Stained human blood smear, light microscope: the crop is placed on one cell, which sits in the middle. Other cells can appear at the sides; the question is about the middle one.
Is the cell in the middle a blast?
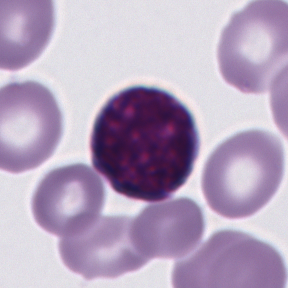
yes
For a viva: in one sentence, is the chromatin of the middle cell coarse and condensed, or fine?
The nucleus shows chromatin that is coarsely clumped.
